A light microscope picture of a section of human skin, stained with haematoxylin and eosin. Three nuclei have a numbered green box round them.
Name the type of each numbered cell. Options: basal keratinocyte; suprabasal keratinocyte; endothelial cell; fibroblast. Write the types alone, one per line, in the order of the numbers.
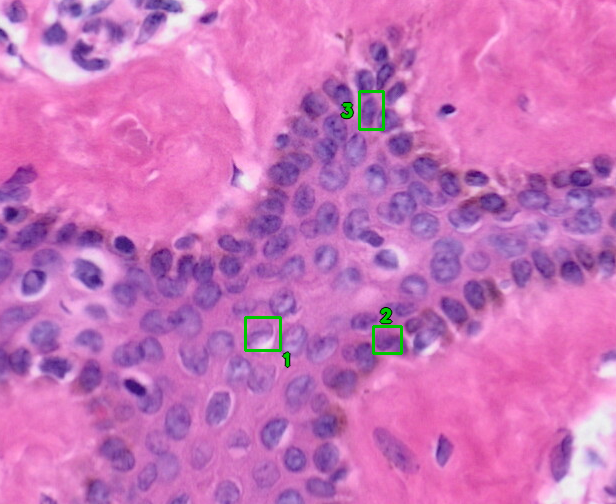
suprabasal keratinocyte
basal keratinocyte
basal keratinocyte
